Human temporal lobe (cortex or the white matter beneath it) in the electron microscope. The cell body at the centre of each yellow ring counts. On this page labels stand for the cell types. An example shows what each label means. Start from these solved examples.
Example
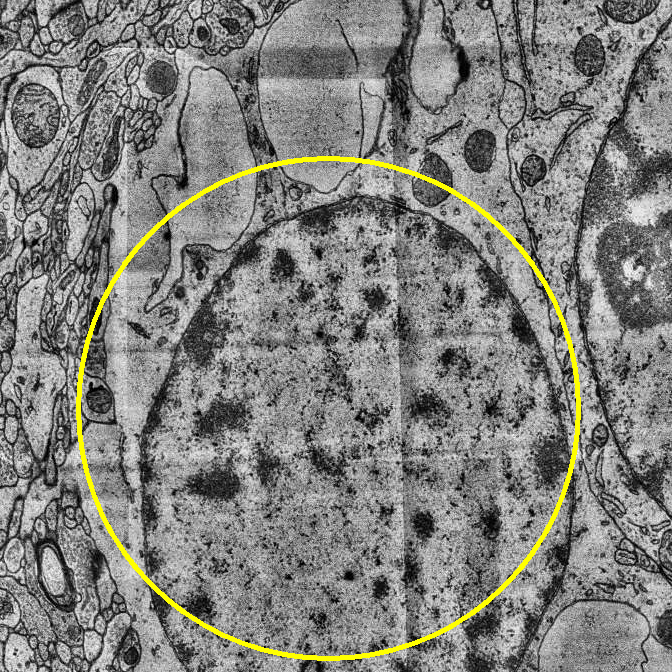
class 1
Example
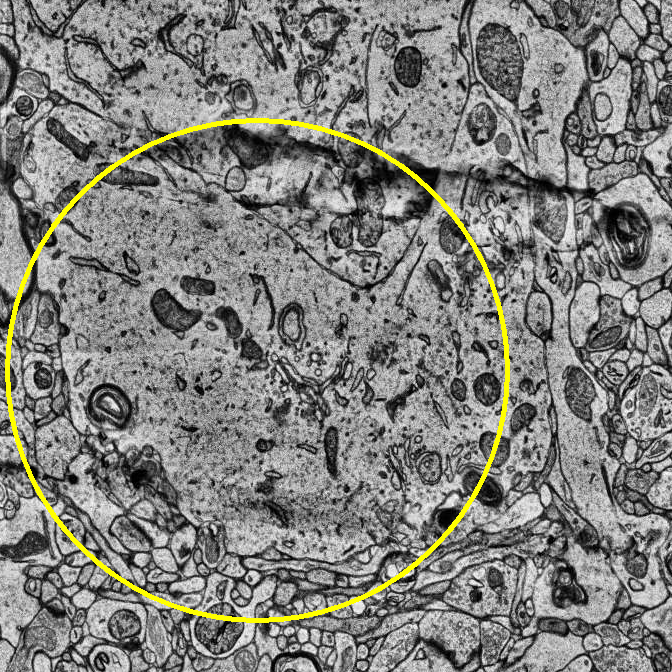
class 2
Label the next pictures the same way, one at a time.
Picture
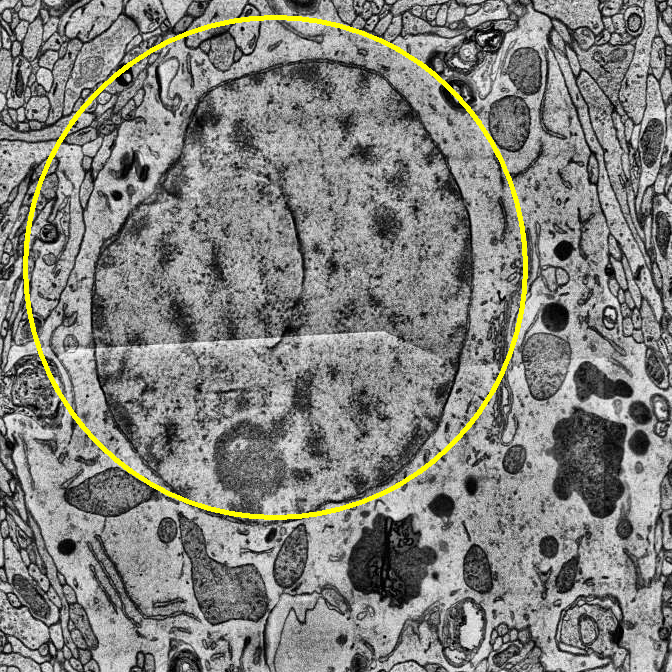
class 1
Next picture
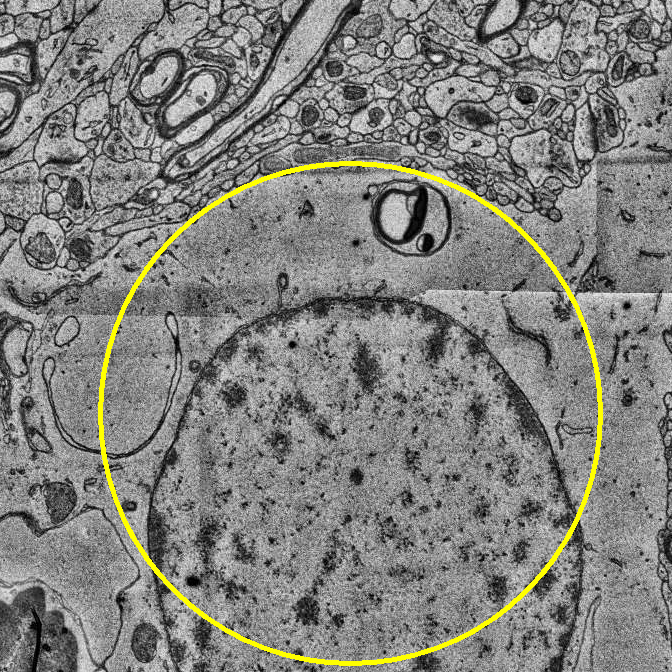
class 1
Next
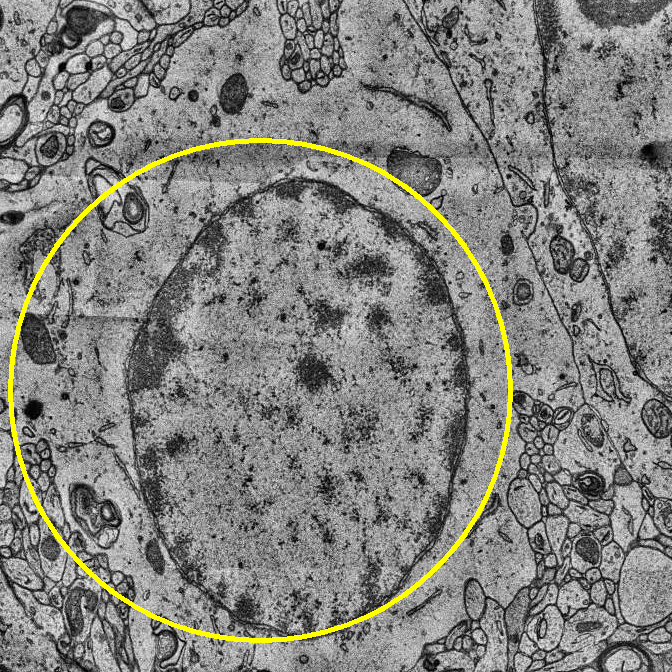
class 1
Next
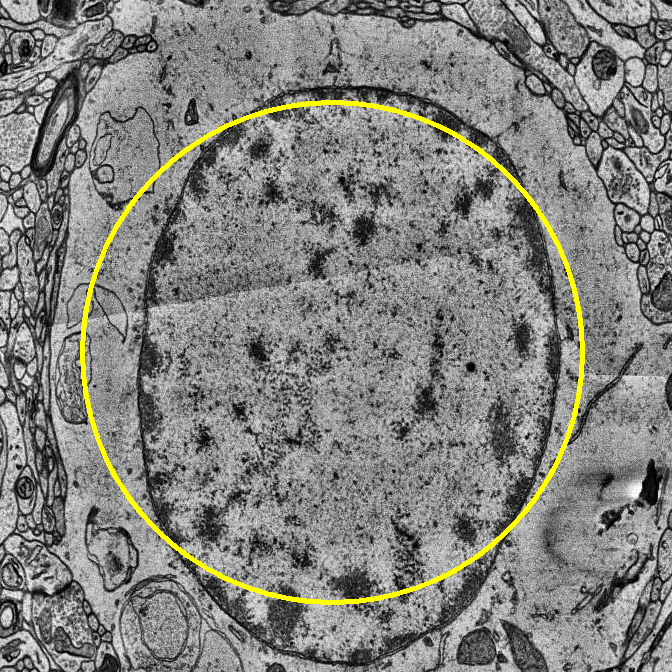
class 1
